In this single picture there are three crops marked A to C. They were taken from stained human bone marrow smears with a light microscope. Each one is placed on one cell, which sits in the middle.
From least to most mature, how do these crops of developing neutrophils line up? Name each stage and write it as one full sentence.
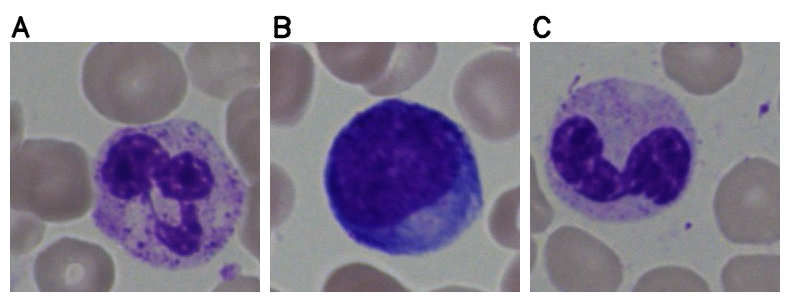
From least to most mature, the cells come in the order crop B (a promyelocyte), crop C (a band neutrophil) and crop A (a segmented neutrophil).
